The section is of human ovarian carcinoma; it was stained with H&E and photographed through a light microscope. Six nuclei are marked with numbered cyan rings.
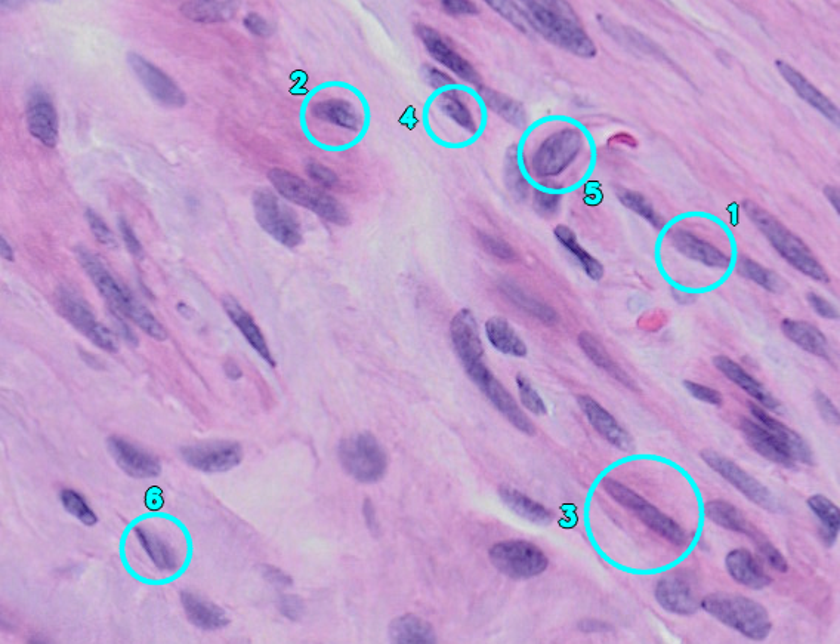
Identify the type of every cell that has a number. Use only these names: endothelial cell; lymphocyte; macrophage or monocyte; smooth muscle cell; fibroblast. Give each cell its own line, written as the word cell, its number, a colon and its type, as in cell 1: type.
cell 1: smooth muscle cell
cell 2: smooth muscle cell
cell 3: smooth muscle cell
cell 4: smooth muscle cell
cell 5: endothelial cell
cell 6: fibroblast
